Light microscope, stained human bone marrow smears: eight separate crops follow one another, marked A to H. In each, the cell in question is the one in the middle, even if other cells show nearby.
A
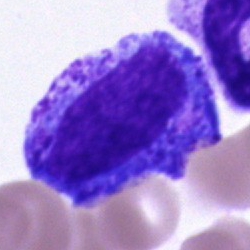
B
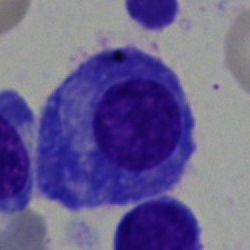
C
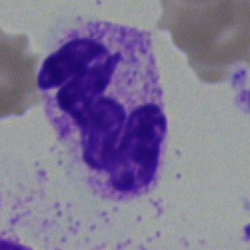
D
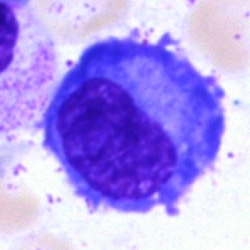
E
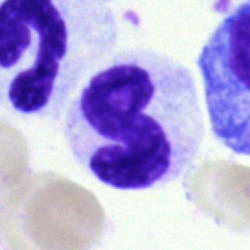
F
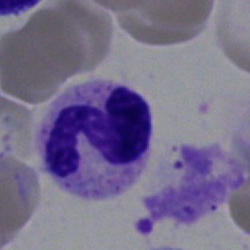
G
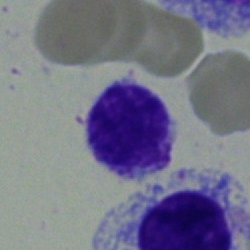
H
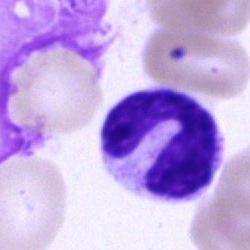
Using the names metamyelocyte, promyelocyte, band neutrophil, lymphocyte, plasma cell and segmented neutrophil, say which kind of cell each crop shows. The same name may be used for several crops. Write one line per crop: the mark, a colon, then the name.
A: promyelocyte
B: plasma cell
C: segmented neutrophil
D: plasma cell
E: band neutrophil
F: segmented neutrophil
G: lymphocyte
H: band neutrophil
